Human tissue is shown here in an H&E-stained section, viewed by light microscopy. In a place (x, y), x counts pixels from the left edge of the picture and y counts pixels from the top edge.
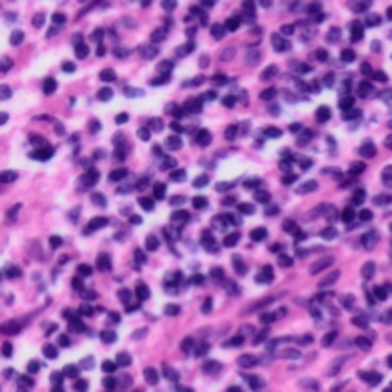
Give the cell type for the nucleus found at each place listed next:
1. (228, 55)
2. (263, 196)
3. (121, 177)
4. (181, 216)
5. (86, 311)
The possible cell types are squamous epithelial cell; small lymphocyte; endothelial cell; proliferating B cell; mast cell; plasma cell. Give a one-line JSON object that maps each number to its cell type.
{"1": "endothelial cell", "2": "small lymphocyte", "3": "proliferating B cell", "4": "small lymphocyte", "5": "small lymphocyte"}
